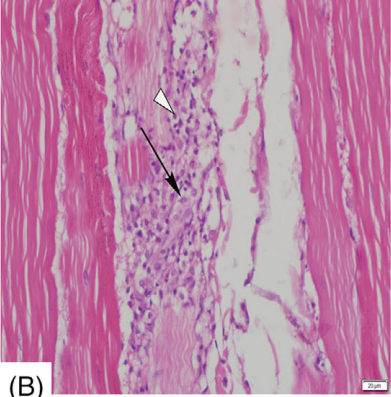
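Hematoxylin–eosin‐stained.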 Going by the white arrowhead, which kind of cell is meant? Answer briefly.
Lymphocytes.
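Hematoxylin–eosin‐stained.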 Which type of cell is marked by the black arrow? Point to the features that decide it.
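The arrow points into a dense cluster of mononuclear cells lying between muscle fibers. Cells there have round to oval nuclei with some pale, vacuolated cytoplasm.
Answer: Macrophages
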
